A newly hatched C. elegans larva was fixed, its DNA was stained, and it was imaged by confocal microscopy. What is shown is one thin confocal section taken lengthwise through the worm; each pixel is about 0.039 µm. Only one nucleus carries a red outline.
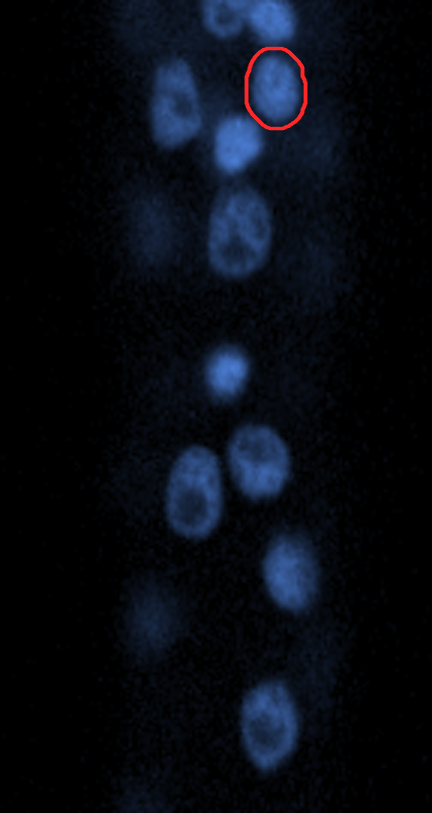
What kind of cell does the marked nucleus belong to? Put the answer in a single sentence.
This is the nucleus of a neuron.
